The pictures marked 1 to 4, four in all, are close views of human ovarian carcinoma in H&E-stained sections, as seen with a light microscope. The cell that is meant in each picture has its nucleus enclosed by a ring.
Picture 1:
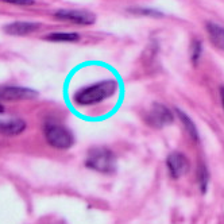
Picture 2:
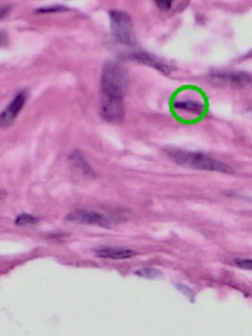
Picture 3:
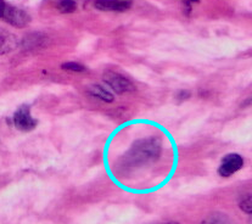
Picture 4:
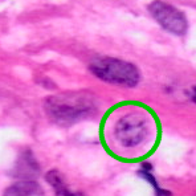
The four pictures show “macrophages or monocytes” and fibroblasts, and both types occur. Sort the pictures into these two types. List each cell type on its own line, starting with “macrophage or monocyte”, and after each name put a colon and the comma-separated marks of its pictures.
macrophage or monocyte: 1, 4
fibroblast: 2, 3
